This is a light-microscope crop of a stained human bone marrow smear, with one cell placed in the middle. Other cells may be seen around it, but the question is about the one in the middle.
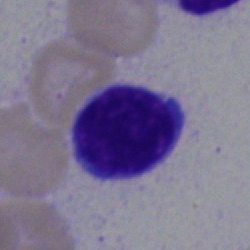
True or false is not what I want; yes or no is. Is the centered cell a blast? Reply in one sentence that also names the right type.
No, rather than a blast, the central cell is a lymphocyte.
